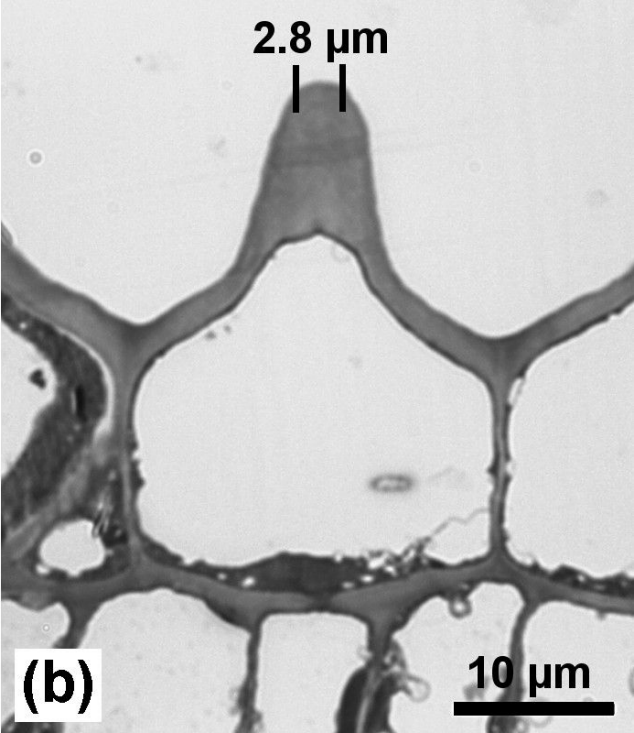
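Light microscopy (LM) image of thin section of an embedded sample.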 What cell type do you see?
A: Epidermis cells.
